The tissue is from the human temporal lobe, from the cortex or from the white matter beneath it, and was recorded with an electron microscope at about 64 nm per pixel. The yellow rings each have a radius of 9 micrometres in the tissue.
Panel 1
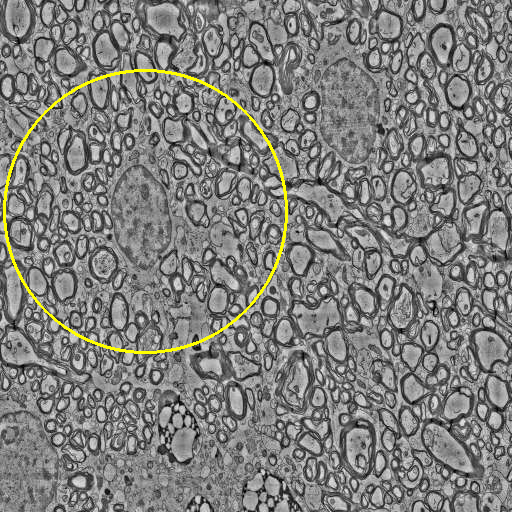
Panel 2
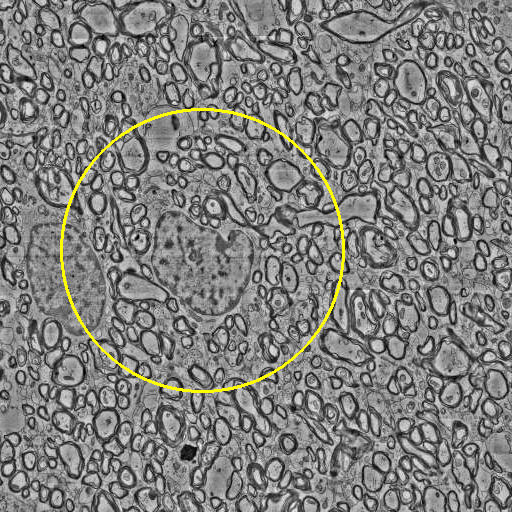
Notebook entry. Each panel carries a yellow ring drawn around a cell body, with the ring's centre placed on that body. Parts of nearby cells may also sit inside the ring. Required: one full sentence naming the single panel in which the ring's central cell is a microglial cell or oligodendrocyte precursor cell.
Panel 2 is the single one with the sought cell at its ring's centre.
